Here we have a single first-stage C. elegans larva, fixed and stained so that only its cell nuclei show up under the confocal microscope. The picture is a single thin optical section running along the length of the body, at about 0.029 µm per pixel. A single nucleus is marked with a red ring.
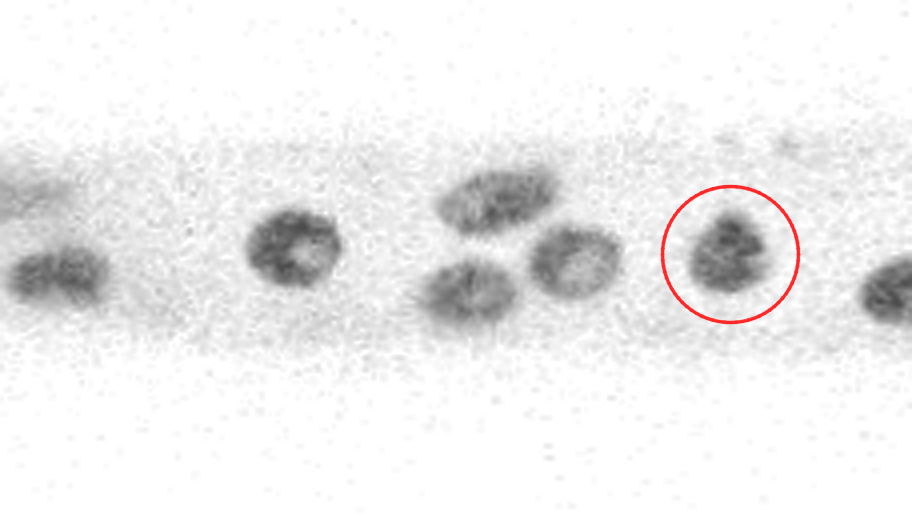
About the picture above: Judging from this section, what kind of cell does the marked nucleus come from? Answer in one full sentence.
This is the nucleus of a Q neuroblast.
